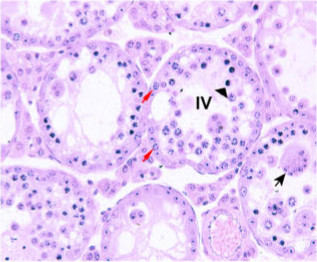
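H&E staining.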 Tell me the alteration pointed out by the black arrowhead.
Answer: Apoptotic spermatocytes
